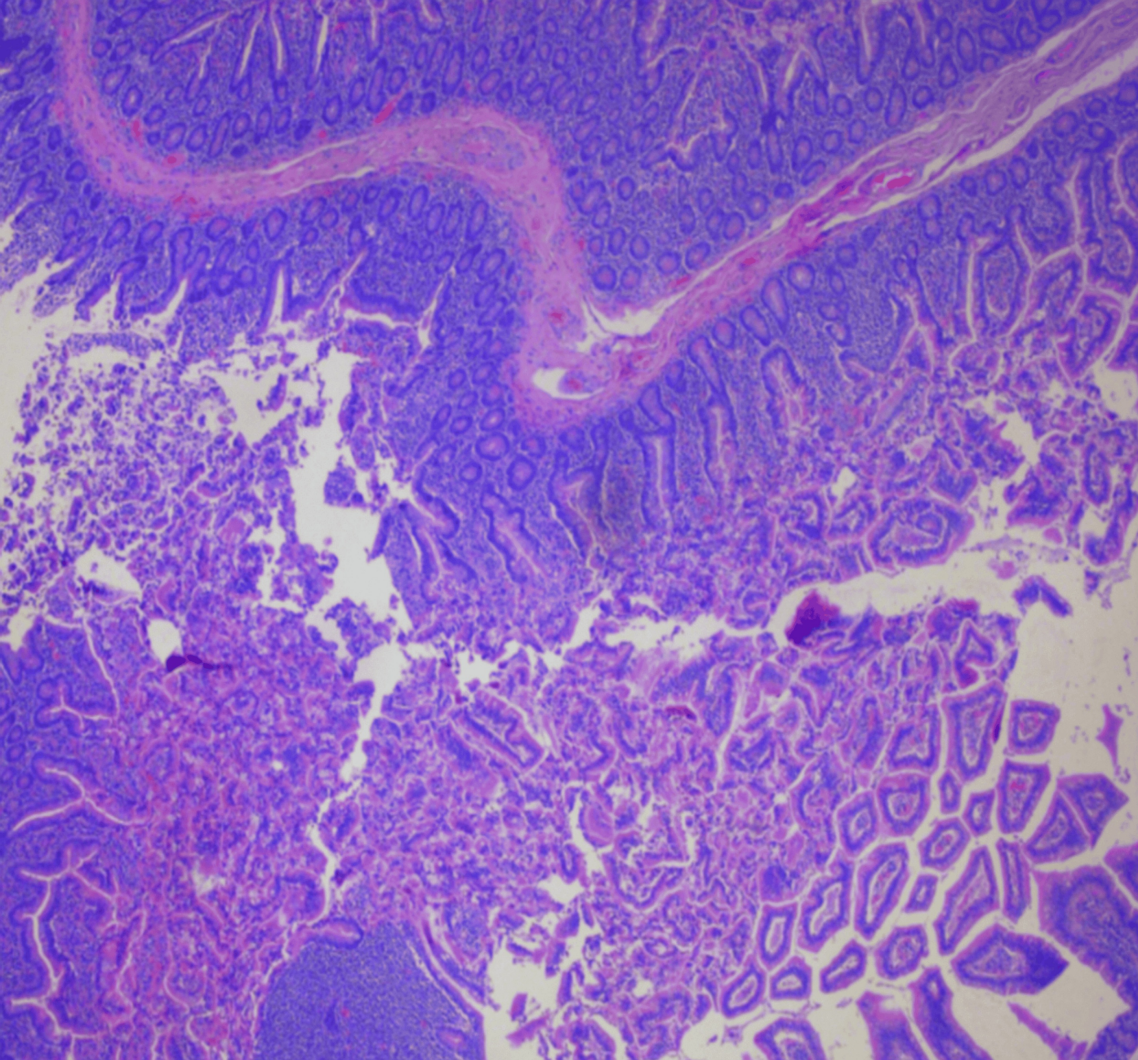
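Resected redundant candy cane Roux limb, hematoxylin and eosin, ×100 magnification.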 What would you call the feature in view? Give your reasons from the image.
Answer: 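At the lower right, finger-like projections are cut in cross-section as separate islands. Each island is lined by a single row of columnar epithelium with dark basal nuclei around a pale core.
Hence: villous architecture.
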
